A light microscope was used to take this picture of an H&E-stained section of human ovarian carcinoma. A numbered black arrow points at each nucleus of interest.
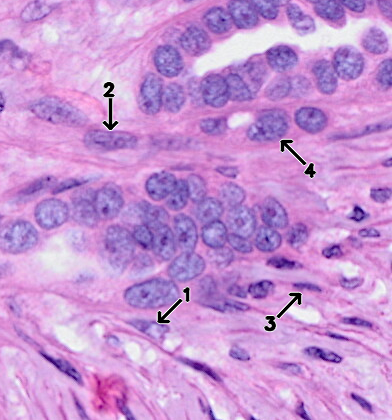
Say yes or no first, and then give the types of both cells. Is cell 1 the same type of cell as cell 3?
Yes, by their numbers, cells 1 and 3 are both fibroblasts.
